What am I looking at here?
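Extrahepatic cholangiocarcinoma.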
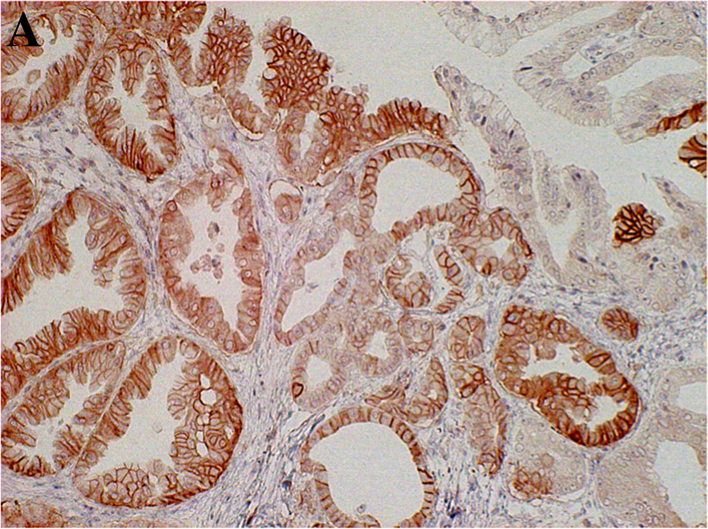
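This is a gland-forming carcinoma, with irregular glands of varied size and shape set in a pale fibrous stroma. The glands are lined by tall columnar cells with oval nuclei, some in a single layer and some crowded or piled up. Brown stain outlines the borders of the lining cells, giving a honeycomb or chicken-wire look, while the nuclei and the stroma stay unstained. At the right edge some glands are lined by cells with little or no brown stain, and a few lumens hold shed cells.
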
